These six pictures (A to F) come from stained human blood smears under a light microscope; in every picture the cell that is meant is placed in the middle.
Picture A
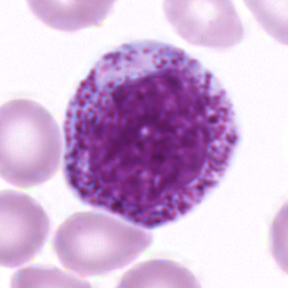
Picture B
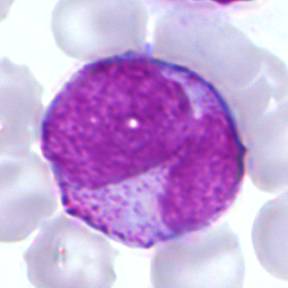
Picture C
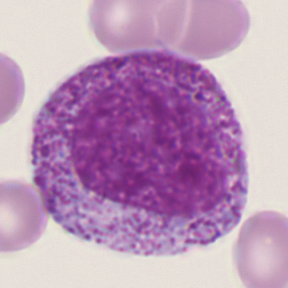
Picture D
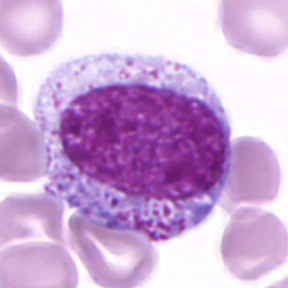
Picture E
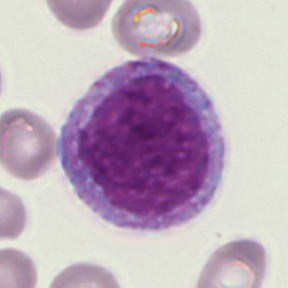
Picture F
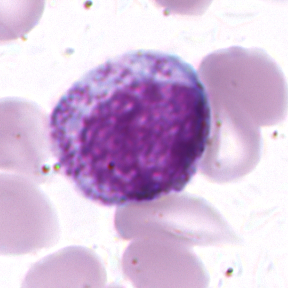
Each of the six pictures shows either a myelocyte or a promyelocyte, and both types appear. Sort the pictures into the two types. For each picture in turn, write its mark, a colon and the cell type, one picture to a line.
A: myelocyte
B: promyelocyte
C: promyelocyte
D: promyelocyte
E: promyelocyte
F: myelocyte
